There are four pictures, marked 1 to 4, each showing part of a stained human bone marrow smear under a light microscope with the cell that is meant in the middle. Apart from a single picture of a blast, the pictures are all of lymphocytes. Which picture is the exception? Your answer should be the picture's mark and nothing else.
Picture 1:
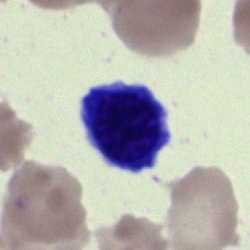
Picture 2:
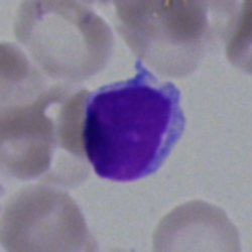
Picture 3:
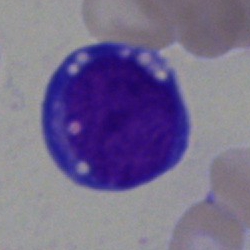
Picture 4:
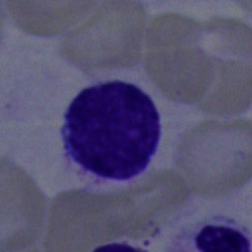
3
